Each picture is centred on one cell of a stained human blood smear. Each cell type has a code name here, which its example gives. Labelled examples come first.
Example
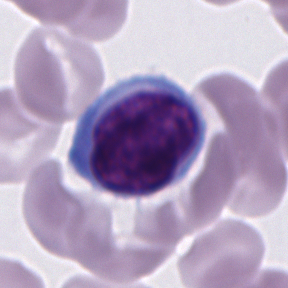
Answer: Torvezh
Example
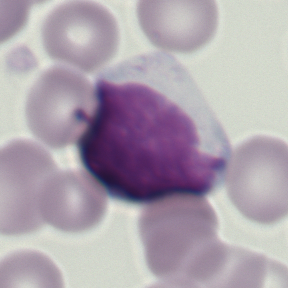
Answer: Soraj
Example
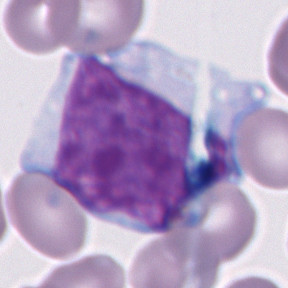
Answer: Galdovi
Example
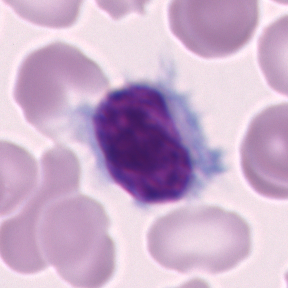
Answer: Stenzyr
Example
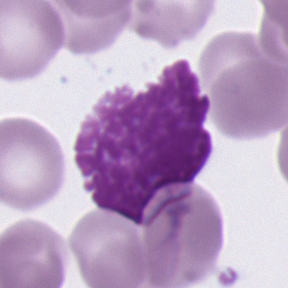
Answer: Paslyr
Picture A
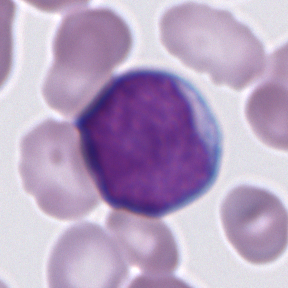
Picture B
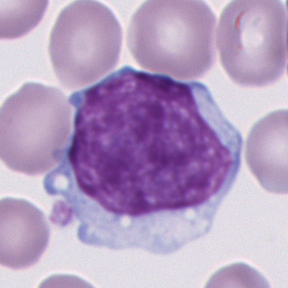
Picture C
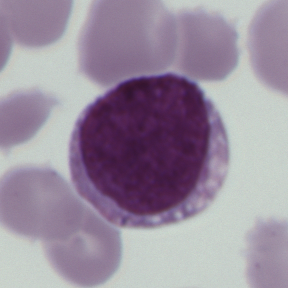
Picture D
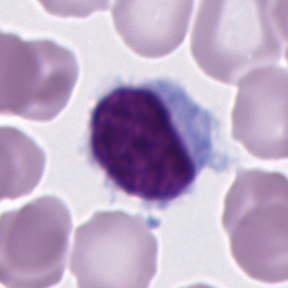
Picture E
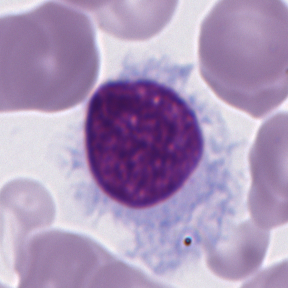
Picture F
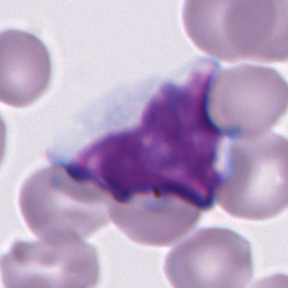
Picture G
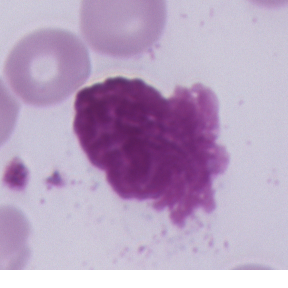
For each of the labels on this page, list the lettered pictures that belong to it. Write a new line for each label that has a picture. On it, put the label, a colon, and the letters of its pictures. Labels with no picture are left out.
Galdovi: A, B, C, F
Stenzyr: D, E
Paslyr: G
